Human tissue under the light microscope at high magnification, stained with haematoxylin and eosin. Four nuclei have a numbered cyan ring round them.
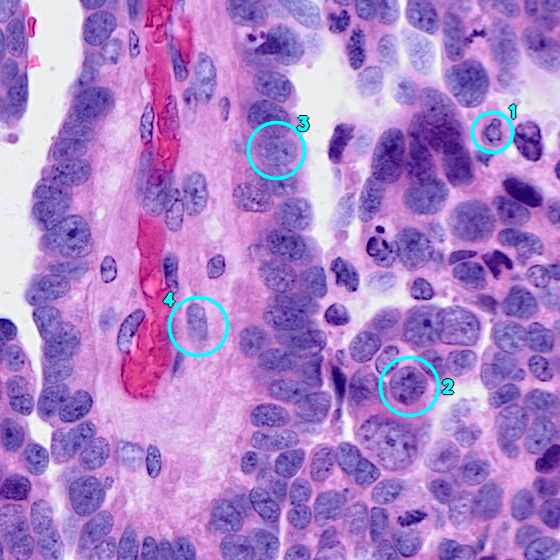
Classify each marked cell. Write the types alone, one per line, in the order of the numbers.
macrophage or monocyte
carcinoma cell
carcinoma cell
fibroblast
